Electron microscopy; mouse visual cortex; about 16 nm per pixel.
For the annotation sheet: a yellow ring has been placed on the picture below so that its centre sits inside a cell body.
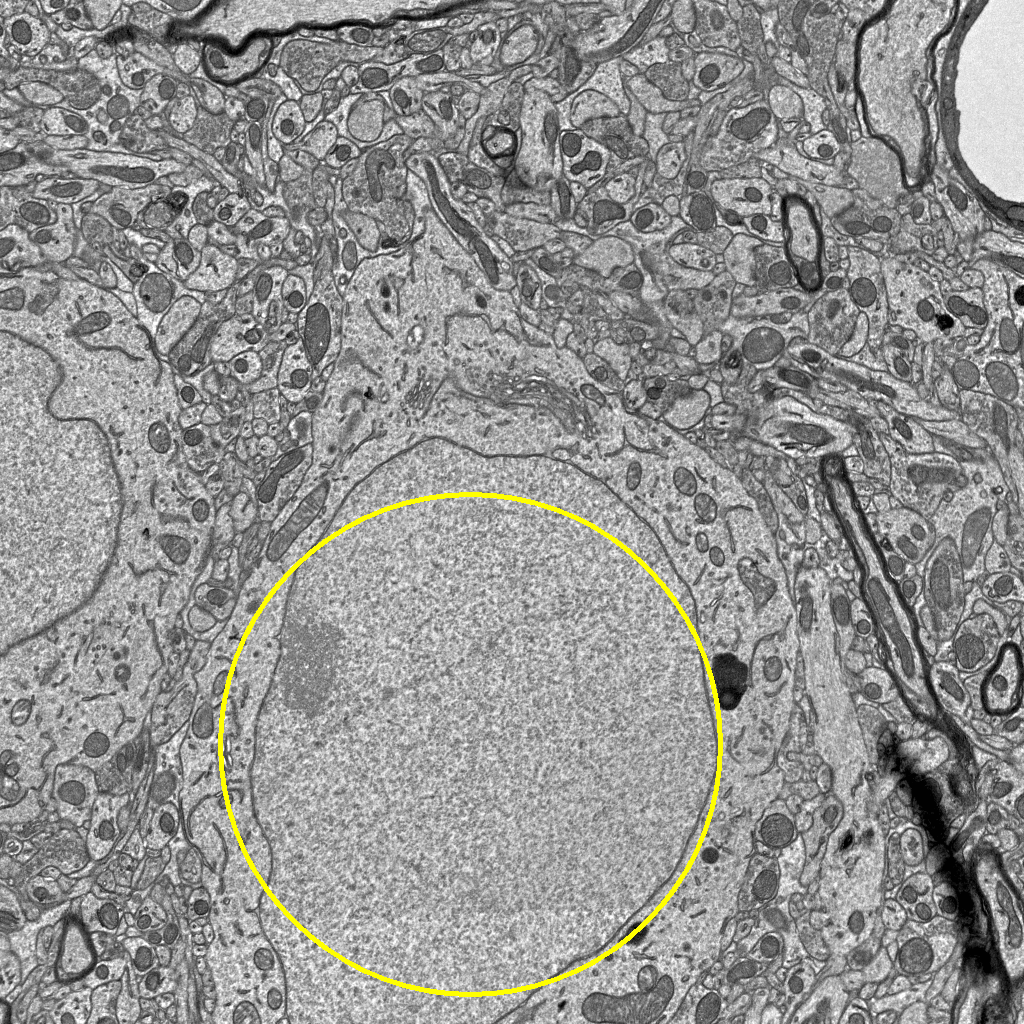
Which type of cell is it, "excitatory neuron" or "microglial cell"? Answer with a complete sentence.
The cell at the ring's centre is an excitatory neuron.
